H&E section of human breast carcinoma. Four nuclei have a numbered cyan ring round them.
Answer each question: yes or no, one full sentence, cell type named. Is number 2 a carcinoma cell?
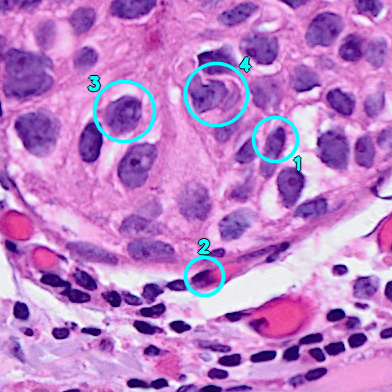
No, the correct answer for cell 2 is an endothelial cell, not a carcinoma cell.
